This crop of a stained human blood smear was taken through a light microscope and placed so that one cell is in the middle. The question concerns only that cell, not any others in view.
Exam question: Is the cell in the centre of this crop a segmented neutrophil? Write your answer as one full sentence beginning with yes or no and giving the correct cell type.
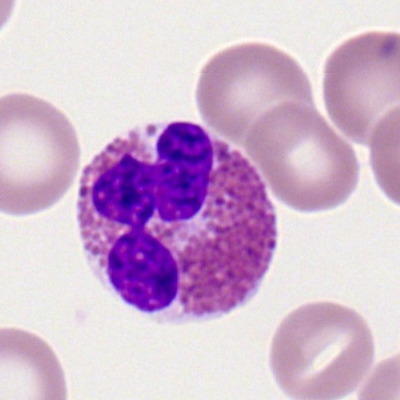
No, the cell occupying the centre is an eosinophil, not a segmented neutrophil.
